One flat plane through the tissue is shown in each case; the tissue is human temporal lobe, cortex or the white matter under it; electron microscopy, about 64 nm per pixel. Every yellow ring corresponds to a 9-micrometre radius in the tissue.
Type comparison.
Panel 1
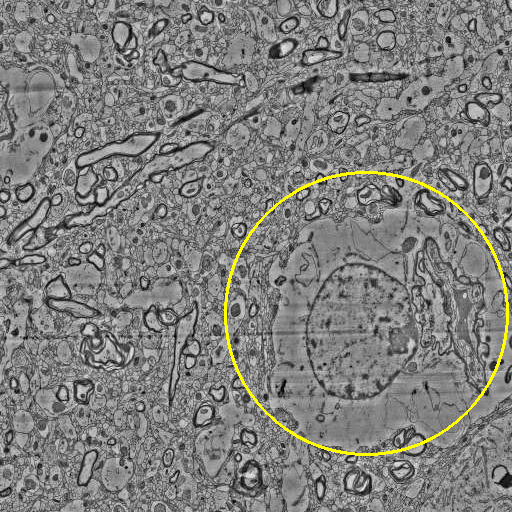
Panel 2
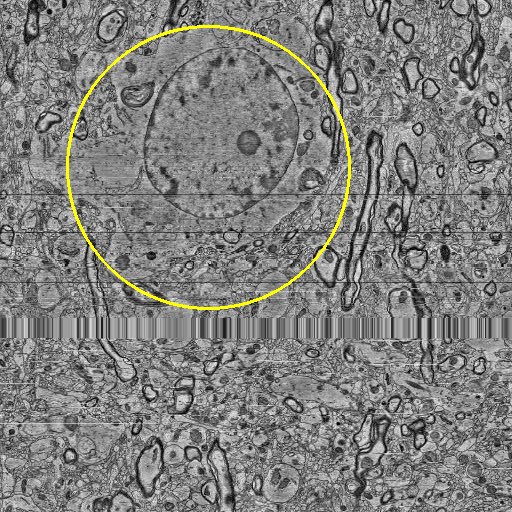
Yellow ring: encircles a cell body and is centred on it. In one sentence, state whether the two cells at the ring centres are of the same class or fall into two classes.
In these panels, the two cells at the ring centres are of the same class.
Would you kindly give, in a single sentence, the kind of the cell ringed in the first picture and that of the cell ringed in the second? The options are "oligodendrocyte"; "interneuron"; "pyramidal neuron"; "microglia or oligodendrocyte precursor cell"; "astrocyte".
In each of the two pictures, the ringed cell is an astrocyte.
